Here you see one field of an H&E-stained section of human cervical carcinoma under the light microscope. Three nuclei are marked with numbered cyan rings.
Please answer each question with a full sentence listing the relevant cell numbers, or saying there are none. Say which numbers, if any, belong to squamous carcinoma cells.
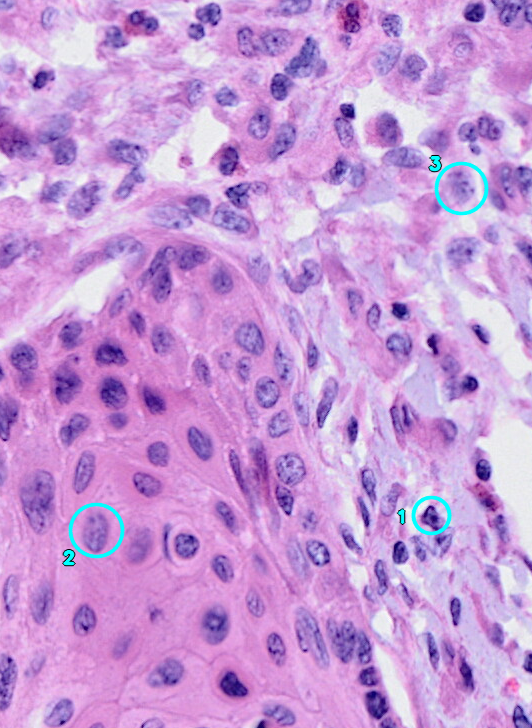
Just the cell marked 2 is a squamous carcinoma cell; none of the other marked cells is.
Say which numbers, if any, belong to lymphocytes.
Cell number 1 alone is a lymphocyte; the rest are not.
